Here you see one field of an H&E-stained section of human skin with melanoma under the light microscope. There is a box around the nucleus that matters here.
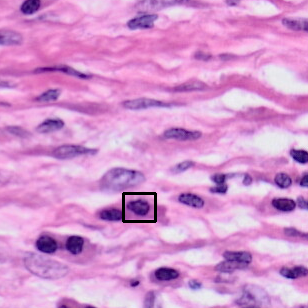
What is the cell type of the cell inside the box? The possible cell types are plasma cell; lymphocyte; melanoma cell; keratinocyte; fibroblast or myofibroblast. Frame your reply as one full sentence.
In this tissue sample, the cell inside the box is a plasma cell.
